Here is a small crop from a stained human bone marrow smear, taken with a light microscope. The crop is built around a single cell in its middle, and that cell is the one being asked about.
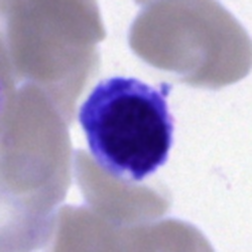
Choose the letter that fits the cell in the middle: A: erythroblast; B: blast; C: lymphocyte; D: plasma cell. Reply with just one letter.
A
